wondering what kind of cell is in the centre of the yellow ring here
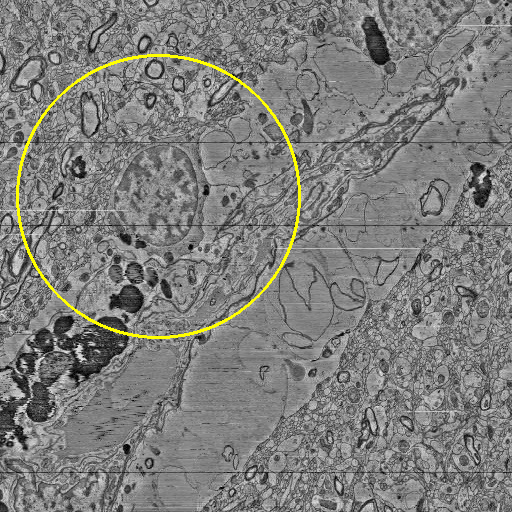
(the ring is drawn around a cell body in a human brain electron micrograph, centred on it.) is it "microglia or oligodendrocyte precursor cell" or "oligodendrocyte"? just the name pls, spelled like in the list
oligodendrocyte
